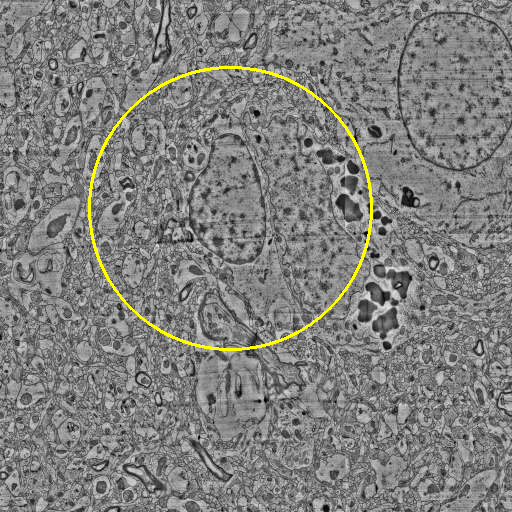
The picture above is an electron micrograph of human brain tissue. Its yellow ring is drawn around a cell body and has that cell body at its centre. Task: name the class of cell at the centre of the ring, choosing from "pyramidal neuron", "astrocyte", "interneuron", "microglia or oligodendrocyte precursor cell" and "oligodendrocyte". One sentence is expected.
The ring surrounds the body of a microglial cell or oligodendrocyte precursor cell.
